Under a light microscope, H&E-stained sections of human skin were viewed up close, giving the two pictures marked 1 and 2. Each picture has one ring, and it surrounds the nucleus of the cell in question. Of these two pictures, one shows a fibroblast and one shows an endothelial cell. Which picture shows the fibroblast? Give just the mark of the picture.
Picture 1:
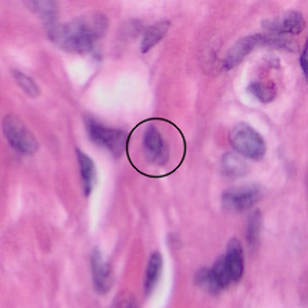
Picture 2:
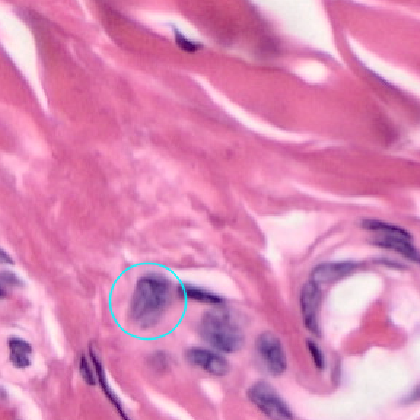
1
